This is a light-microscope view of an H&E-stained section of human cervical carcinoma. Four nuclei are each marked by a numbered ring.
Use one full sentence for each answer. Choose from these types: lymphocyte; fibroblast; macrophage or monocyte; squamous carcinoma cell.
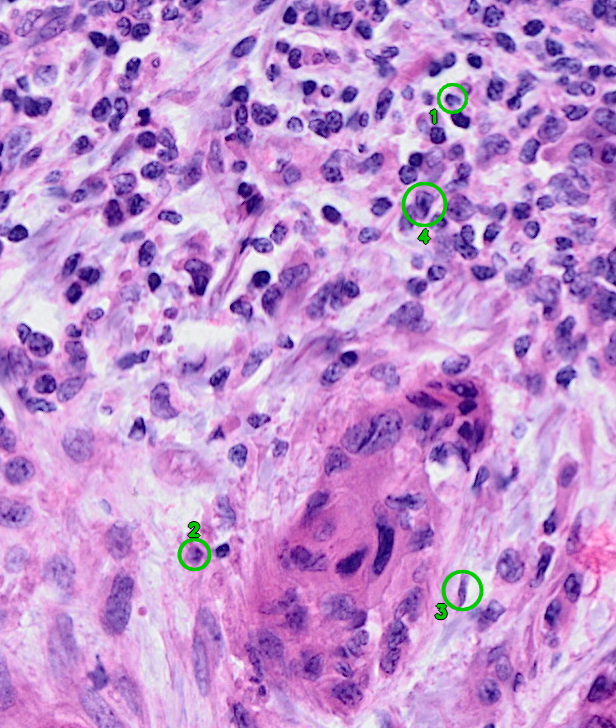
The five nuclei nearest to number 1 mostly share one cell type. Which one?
Lymphocytes account for more than half of the five nuclei nearest to number 1.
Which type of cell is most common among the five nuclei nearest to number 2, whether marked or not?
Most of the five nuclei nearest to number 2 are those of fibroblasts.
